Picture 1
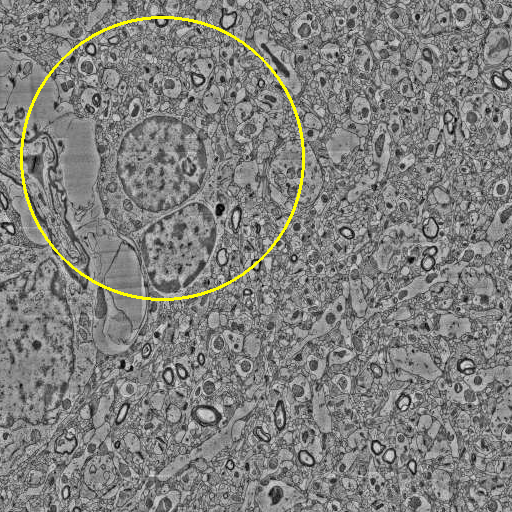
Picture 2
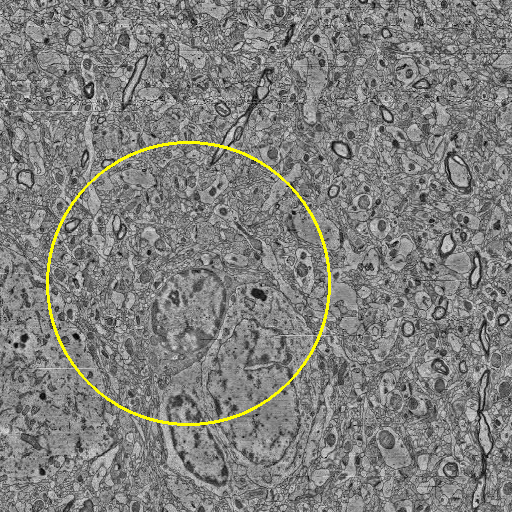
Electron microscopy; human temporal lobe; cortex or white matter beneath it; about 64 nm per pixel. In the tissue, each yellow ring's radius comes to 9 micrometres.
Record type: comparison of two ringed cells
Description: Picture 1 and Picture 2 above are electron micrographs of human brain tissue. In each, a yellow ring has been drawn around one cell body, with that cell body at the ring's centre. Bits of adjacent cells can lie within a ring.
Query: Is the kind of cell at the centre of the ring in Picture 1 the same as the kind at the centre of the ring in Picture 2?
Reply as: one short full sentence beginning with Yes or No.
Yes, the two ringed cells are of the same kind.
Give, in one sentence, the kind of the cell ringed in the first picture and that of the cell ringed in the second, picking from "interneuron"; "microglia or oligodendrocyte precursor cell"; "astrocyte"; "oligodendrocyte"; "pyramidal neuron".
In each of the two pictures, the ringed cell is an oligodendrocyte.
